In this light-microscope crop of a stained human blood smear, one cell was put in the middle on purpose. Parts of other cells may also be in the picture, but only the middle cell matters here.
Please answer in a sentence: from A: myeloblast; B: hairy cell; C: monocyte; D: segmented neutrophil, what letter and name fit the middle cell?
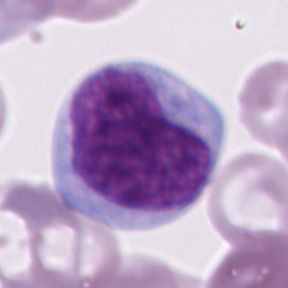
Identification: the cell in the middle is a monocyte, matching option C.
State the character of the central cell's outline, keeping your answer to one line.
Smooth all around, the outline has no projections to report.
